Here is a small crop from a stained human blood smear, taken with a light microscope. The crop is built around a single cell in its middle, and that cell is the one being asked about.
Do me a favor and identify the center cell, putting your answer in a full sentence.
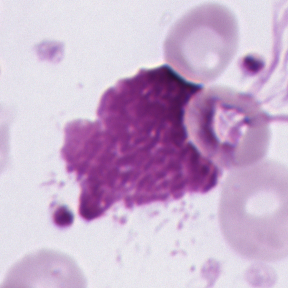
The cell in the middle of the field of view is a smudge cell.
